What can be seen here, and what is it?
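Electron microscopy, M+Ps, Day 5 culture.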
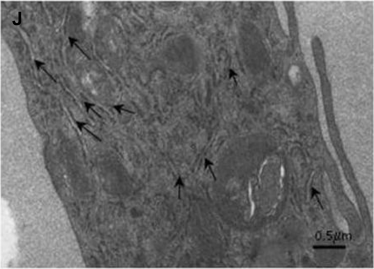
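Several elongated, flattened membrane cisternae run through the cytoplasm, their surfaces dotted with small electron-dense beads, the attached ribosomes. Darker oval organelles are scattered among the cisternae. Along the right edge the cell membrane forms a thin, finger-like projection into the surrounding pale space.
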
